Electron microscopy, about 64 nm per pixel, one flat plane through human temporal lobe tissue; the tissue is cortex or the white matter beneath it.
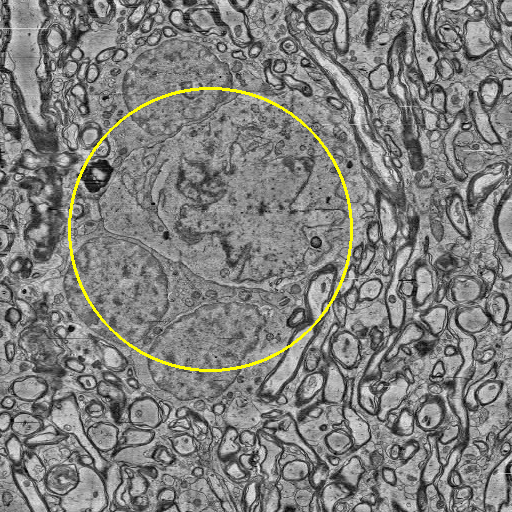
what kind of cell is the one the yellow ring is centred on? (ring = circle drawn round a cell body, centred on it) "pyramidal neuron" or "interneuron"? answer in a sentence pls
The ring is drawn around an interneuron.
